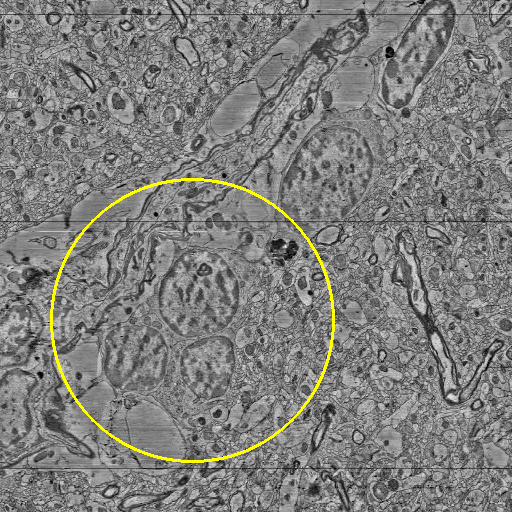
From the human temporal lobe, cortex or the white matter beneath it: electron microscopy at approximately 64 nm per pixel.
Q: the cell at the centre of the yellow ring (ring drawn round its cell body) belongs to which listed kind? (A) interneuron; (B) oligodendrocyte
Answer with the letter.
B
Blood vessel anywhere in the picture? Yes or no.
Yes, one appears.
